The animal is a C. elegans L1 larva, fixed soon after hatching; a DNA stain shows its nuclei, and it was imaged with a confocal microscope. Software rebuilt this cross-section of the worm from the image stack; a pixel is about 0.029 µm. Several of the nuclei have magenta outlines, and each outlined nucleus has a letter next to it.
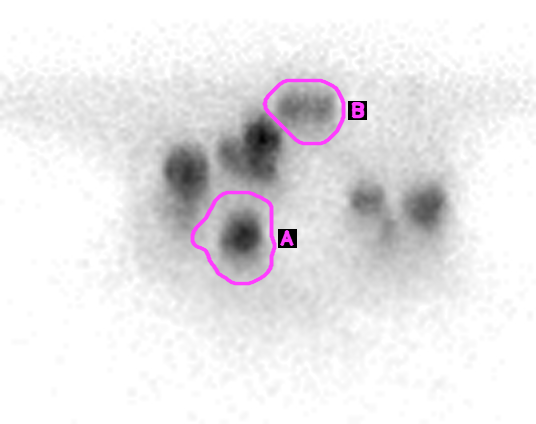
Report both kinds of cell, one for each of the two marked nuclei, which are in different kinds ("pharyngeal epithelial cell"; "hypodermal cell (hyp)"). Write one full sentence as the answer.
A is from a pharyngeal epithelial cell, and B is from a hypodermal cell (hyp).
